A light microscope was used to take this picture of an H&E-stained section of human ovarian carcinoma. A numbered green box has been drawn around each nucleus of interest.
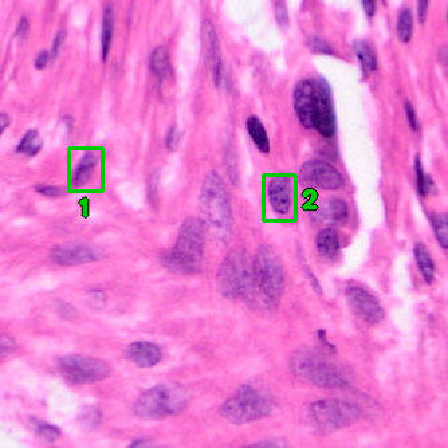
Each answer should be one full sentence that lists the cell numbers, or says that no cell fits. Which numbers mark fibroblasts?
Only the cell numbered 1 qualifies as a fibroblast among the marked cells.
